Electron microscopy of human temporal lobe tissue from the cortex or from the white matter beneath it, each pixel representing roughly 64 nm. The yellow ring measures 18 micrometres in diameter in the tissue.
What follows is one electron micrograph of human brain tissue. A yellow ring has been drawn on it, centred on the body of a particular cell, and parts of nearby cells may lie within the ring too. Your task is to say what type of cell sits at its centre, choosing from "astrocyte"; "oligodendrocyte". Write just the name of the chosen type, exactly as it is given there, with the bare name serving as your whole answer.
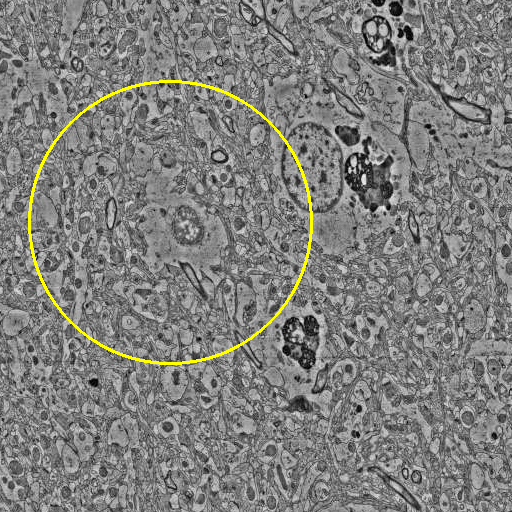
astrocyte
